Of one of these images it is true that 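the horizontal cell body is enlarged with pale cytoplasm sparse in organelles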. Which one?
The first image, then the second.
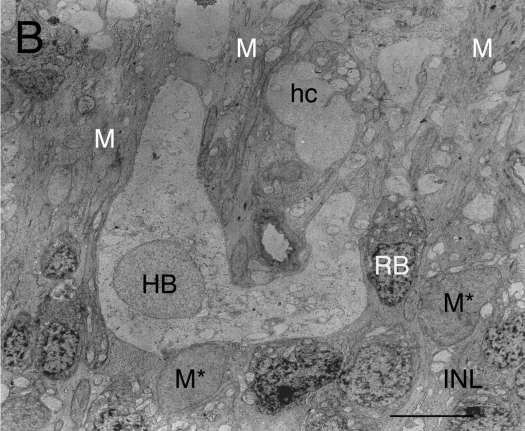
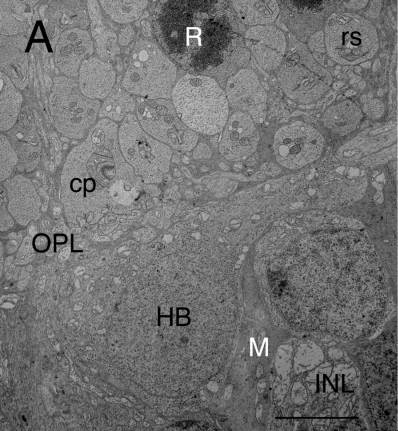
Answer: The first image.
